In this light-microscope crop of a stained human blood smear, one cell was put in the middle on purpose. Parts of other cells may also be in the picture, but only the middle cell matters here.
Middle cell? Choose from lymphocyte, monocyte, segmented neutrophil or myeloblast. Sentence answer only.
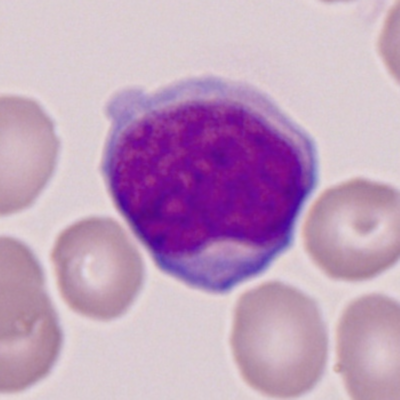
What sits at the centre of this crop is a myeloblast.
